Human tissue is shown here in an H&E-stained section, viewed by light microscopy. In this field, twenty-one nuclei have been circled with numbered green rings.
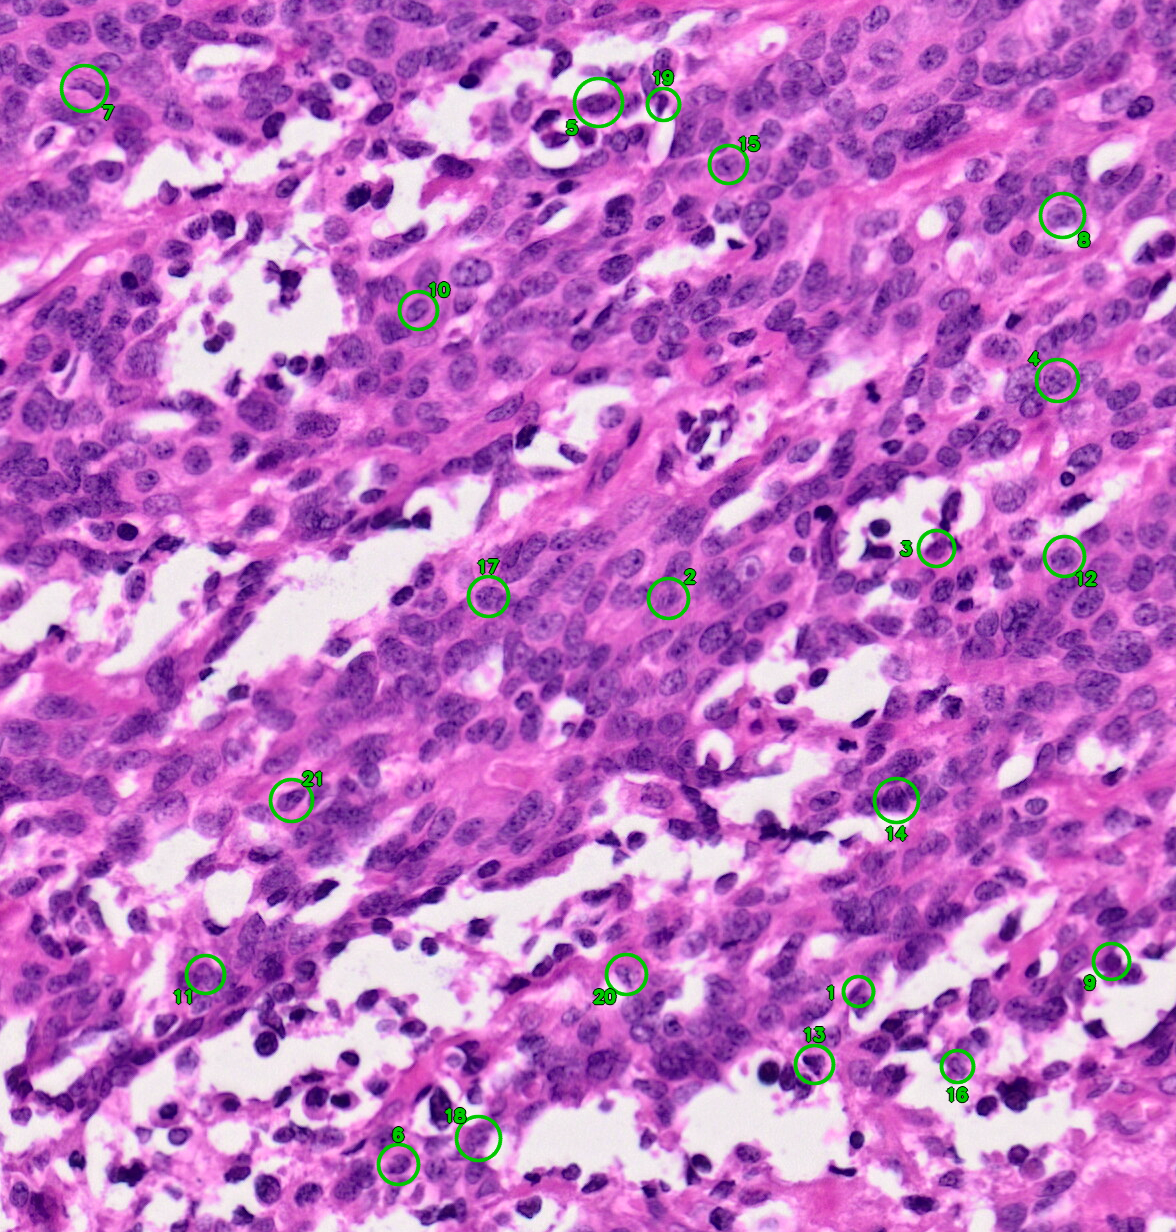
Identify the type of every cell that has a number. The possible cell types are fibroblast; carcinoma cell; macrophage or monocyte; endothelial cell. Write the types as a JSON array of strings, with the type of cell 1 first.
["carcinoma cell", "carcinoma cell", "carcinoma cell", "carcinoma cell", "carcinoma cell", "macrophage or monocyte", "macrophage or monocyte", "macrophage or monocyte", "carcinoma cell", "macrophage or monocyte", "carcinoma cell", "macrophage or monocyte", "carcinoma cell", "carcinoma cell", "macrophage or monocyte", "macrophage or monocyte", "macrophage or monocyte", "carcinoma cell", "carcinoma cell", "macrophage or monocyte", "macrophage or monocyte"]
